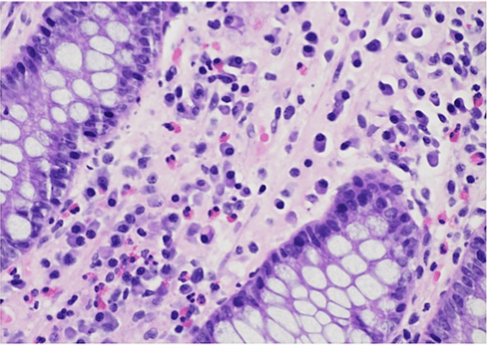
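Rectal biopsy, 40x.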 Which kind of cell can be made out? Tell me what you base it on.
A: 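Plasma cells. Many cells in the lamina propria between the crypts have round, eccentrically placed nuclei. These cells have a rim of purple cytoplasm to one side of the nucleus.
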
